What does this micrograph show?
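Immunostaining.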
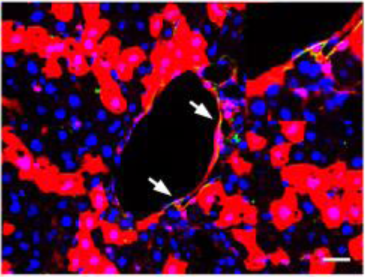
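This is a section of liver in which many large cells fill with red fluorescence and surround a wide, empty, dark lumen. The red cells are big and polygonal, packed in irregular clusters and cords, with round blue nuclei inside many of them. Between the red clusters lie dark areas holding smaller blue nuclei of unlabelled cells. The lumen is rimmed by a thin line of flattened, elongated cells that show yellow to green where green overlaps red. White arrows point to this thin lining along the wall of the lumen.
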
